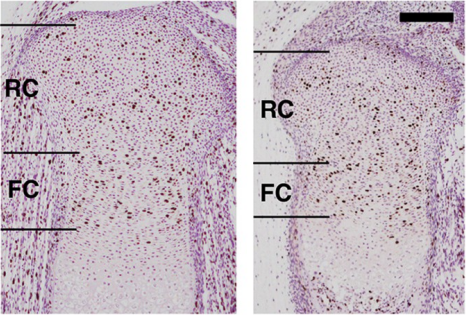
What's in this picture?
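Near the rounded end the cells are small, round and scattered. Farther down they flatten and line up in stacked columns. Toward the bottom they become larger and paler. Brown-stained nuclei are scattered through the round and flattened cell zones, and fewer appear in the pale lower part. A thin layer of elongated fibrous cells wraps the cartilage at its sides.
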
